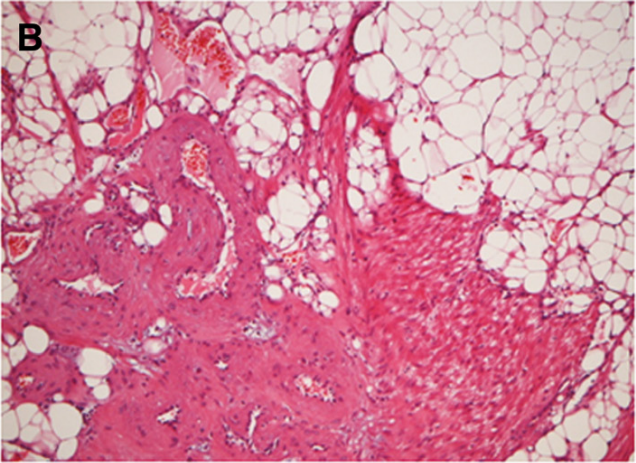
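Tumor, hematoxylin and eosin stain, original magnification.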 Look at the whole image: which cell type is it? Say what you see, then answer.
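Mature adipocytes. Large empty round to polygonal spaces with thin pink borders fill the upper part. The fat cells vary in size and have no visible central nuclei.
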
